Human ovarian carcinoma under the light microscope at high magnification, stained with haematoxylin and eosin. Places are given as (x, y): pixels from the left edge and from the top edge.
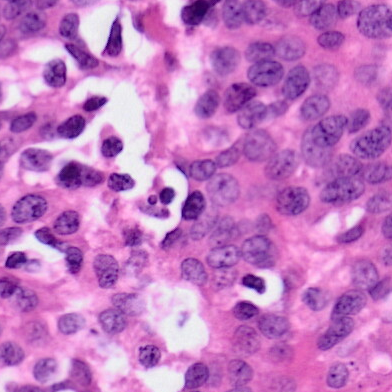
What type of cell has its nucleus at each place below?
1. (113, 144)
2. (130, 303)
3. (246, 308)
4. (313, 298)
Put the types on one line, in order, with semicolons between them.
carcinoma cell; carcinoma cell; carcinoma cell; macrophage or monocyte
